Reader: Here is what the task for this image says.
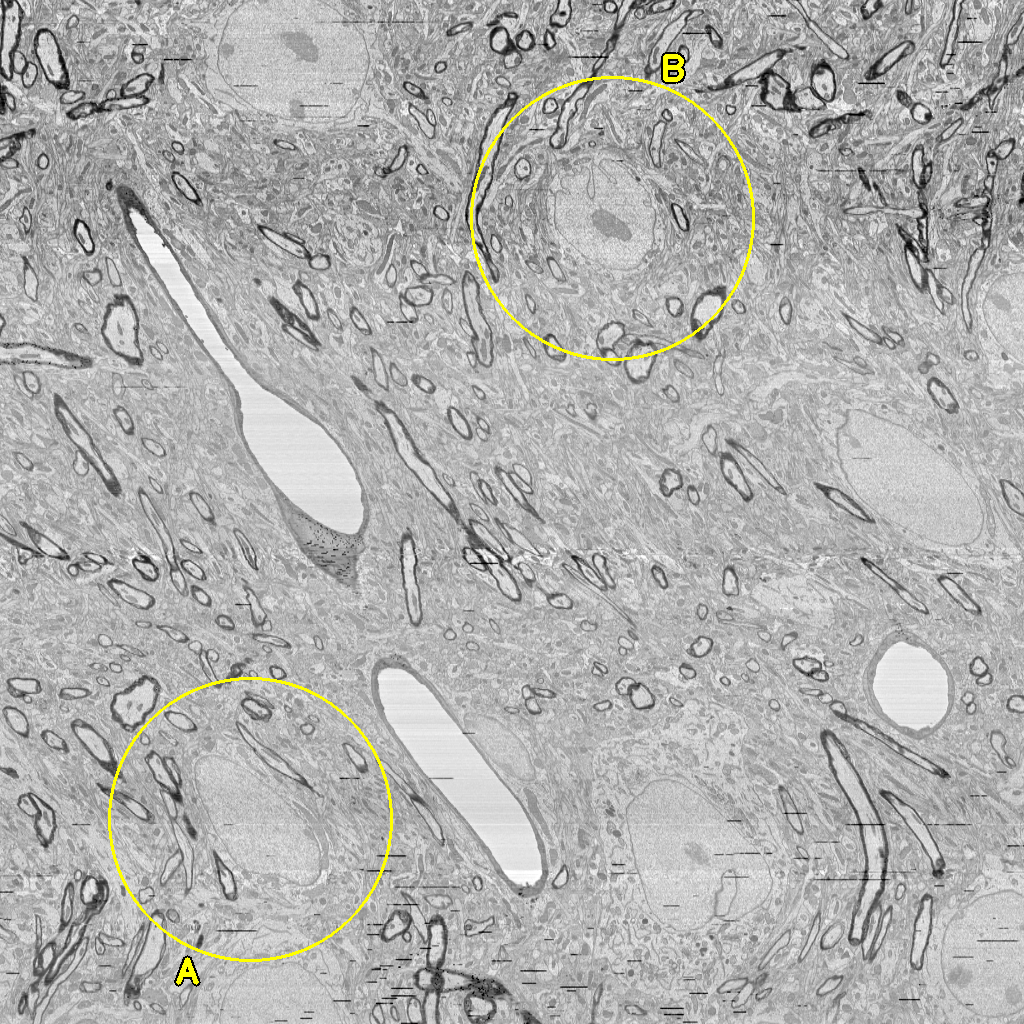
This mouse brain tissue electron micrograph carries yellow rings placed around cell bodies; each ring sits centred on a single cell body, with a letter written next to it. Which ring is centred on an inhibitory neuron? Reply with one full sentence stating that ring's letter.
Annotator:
Letter B marks the ring whose centre holds the cell asked for.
